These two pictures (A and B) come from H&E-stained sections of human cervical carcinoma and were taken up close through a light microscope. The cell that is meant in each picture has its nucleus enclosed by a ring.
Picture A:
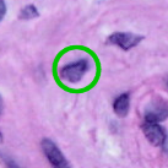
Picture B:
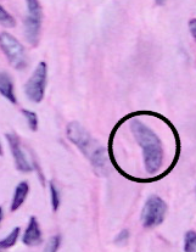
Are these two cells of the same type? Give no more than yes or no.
yes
